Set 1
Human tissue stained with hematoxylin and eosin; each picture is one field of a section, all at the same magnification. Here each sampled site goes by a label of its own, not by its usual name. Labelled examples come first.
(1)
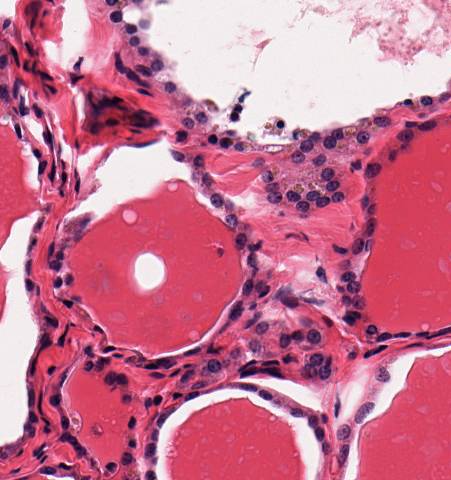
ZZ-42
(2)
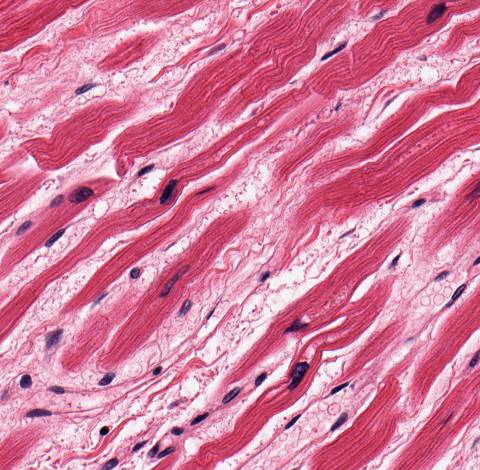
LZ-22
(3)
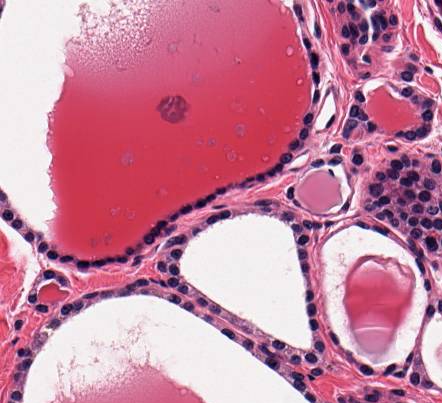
ZZ-42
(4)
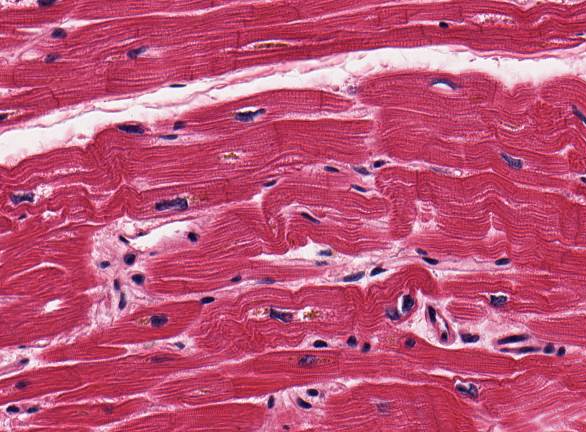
LZ-22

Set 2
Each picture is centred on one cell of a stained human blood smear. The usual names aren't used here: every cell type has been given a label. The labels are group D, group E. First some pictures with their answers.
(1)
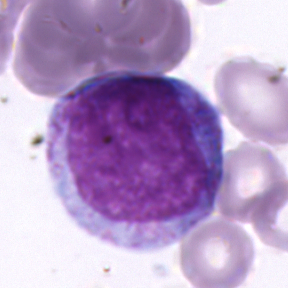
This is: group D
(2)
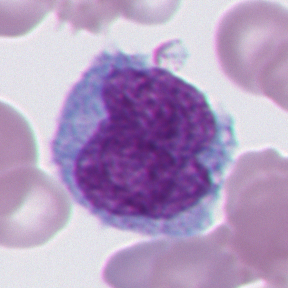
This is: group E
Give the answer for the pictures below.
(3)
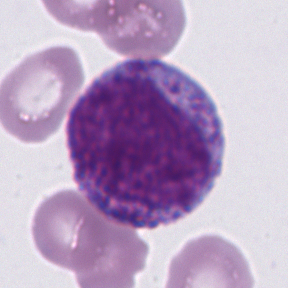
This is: group D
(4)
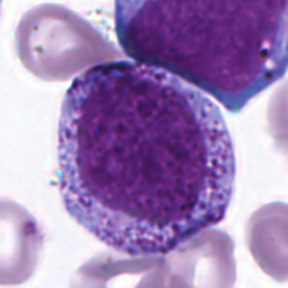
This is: group D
